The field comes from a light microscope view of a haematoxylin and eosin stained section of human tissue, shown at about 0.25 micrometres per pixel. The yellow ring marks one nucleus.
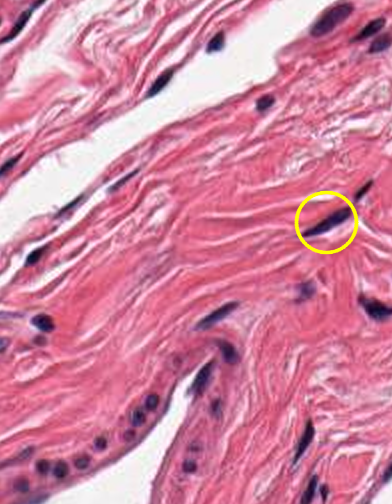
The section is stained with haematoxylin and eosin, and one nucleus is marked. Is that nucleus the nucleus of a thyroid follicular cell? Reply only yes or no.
no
